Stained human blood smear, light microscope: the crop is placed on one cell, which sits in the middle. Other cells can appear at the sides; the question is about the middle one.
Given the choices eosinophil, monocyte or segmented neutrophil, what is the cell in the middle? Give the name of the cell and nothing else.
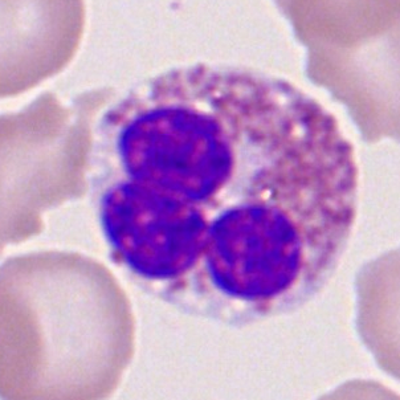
eosinophil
